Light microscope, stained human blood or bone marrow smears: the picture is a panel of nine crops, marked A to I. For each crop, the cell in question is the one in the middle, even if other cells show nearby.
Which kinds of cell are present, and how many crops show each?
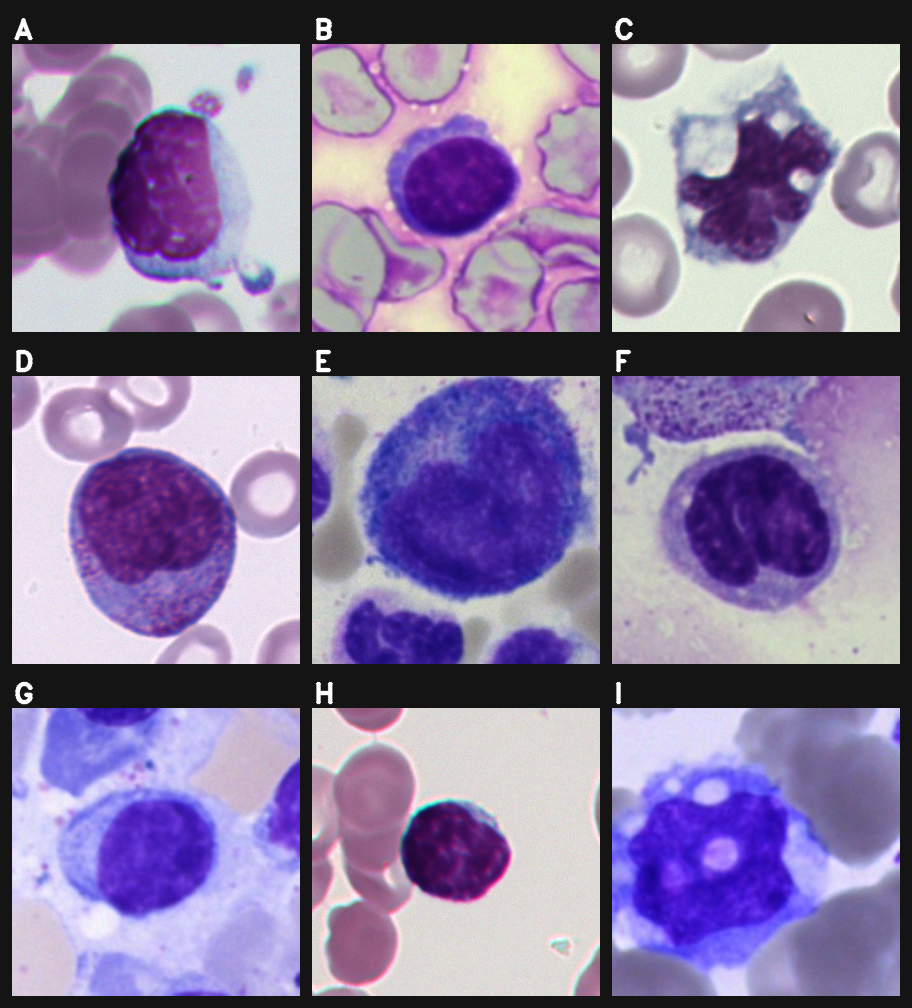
lymphocyte: 4
monocyte: 3
promyelocyte: 2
